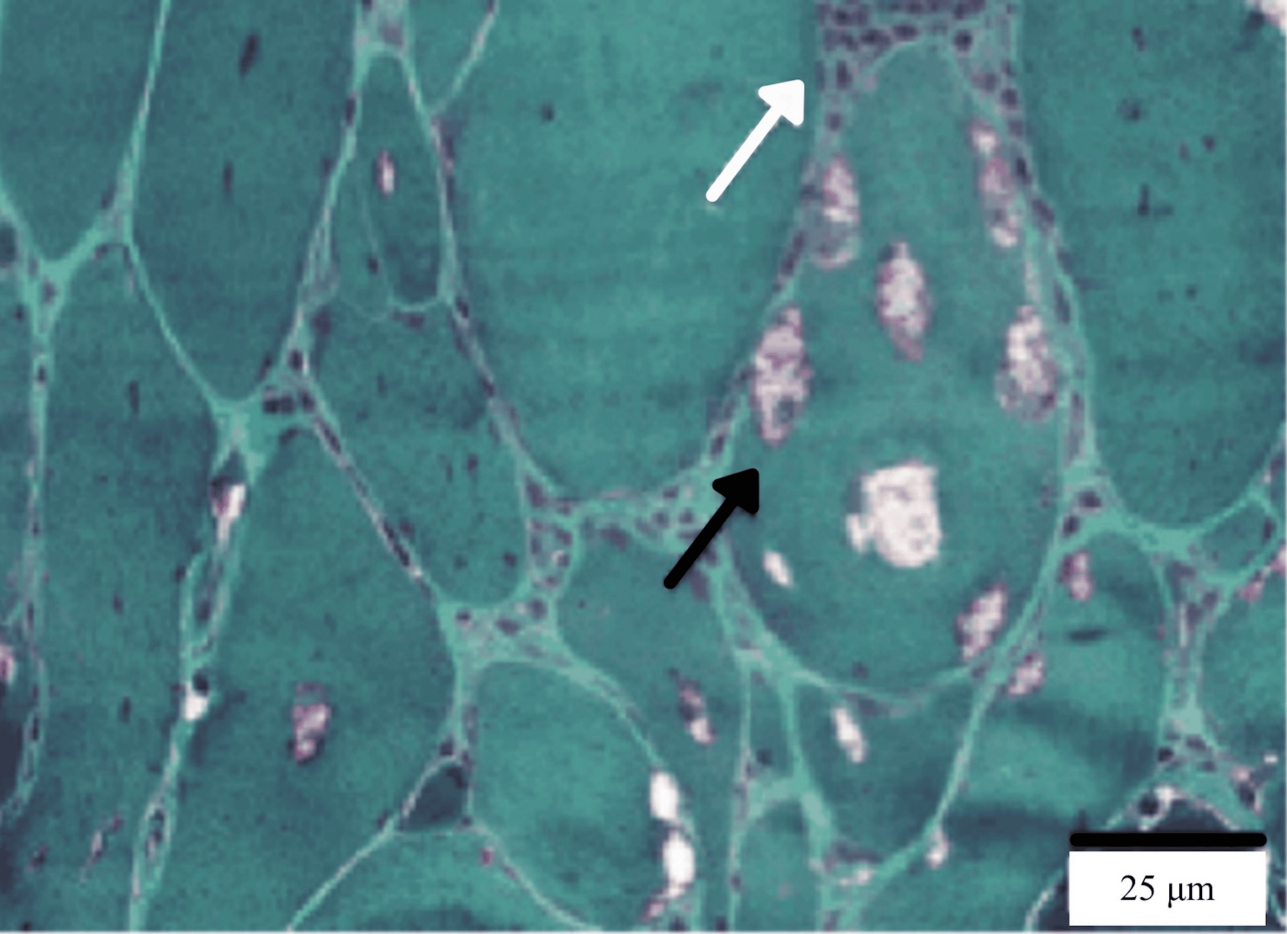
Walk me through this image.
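Cross-section of skeletal muscle with polygonal fibers of varying size, separated by thin endomysial connective tissue, with small dark nuclei at the fiber edges. Several fibers contain pale, irregular clear spaces with granular, darker borders, which are rimmed vacuoles. Between fibers at the top and centre, clusters of small, round, dark nuclei crowd the endomysium, forming an inflammatory infiltrate.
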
